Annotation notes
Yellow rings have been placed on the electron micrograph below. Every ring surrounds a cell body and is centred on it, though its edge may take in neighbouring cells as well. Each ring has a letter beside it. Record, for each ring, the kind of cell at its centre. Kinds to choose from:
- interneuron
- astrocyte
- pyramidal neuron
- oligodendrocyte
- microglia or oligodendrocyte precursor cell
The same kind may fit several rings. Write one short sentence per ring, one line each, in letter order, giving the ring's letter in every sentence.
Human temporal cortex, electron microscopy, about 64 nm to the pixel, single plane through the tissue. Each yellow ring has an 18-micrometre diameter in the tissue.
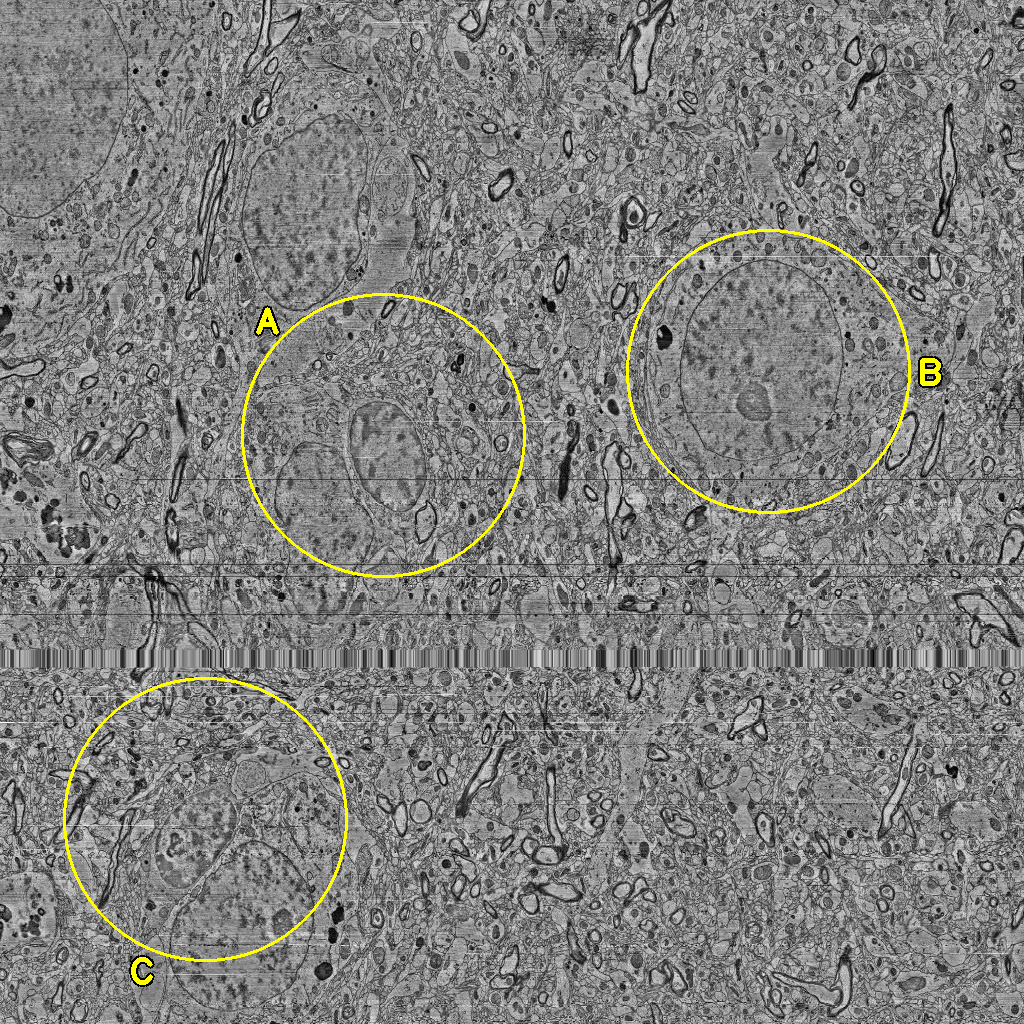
Ring A surrounds an oligodendrocyte.
Ring B surrounds a pyramidal neuron.
Ring C surrounds an oligodendrocyte.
